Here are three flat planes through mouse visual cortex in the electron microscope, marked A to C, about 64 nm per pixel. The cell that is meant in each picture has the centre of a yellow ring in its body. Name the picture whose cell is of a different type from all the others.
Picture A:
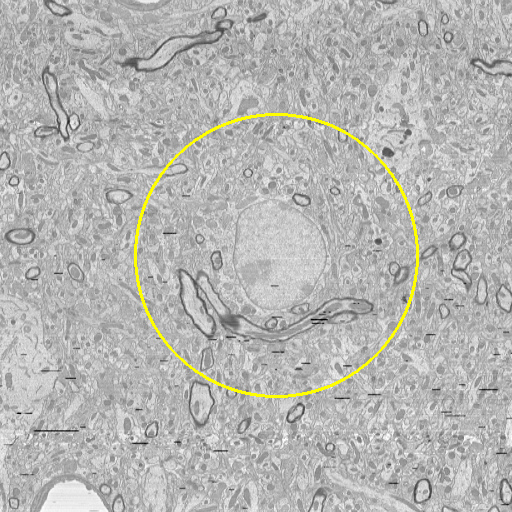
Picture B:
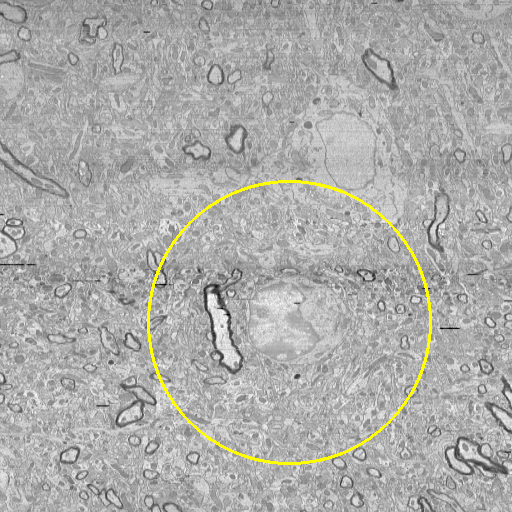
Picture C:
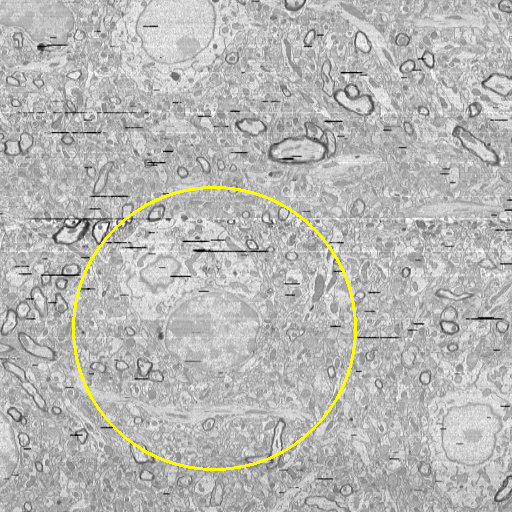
All pictures except A show oligodendrocytes; picture A shows an astrocyte.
